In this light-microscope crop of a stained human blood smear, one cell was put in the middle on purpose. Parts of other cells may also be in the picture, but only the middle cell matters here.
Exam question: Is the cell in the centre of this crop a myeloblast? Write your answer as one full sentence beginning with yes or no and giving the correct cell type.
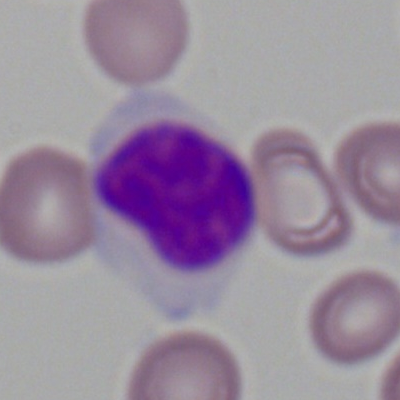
No, the central cell is classed as a lymphocyte, not a myeloblast.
